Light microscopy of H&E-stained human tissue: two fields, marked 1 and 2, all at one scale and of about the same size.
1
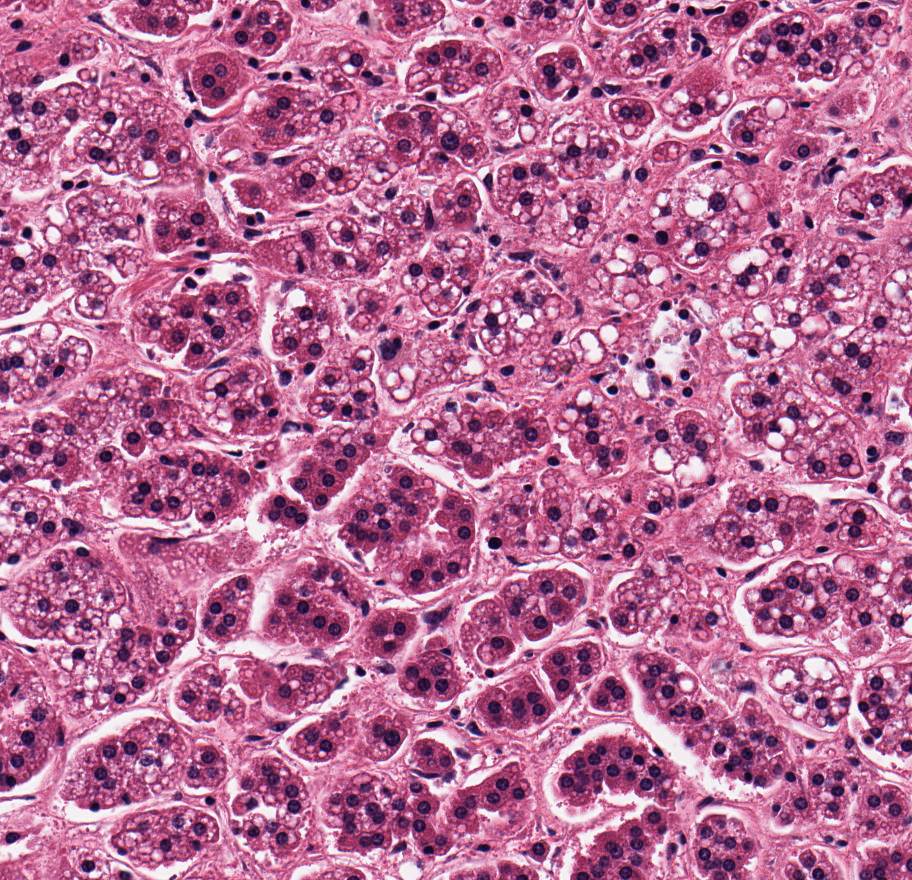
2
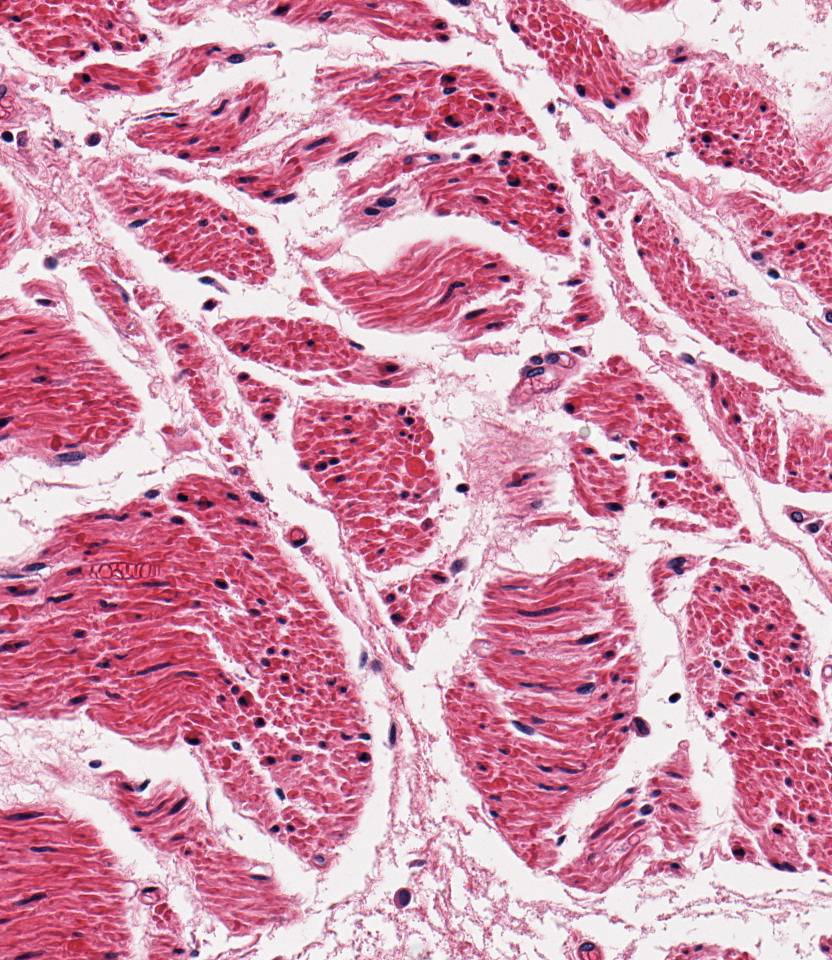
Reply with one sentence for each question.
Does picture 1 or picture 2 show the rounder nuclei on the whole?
Rounder nuclei lie in picture 1.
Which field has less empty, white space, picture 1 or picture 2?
It is picture 1 that stained tissue fills more completely.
